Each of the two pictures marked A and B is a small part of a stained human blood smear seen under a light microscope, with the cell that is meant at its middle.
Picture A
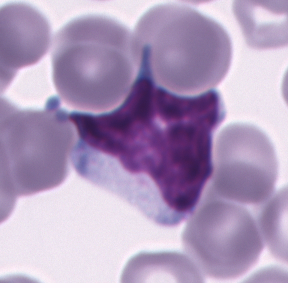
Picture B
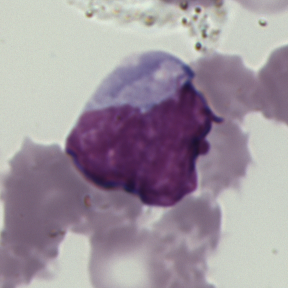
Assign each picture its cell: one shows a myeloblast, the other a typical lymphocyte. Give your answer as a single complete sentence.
Picture A shows a typical lymphocyte and picture B shows a myeloblast.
